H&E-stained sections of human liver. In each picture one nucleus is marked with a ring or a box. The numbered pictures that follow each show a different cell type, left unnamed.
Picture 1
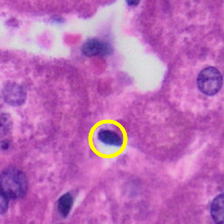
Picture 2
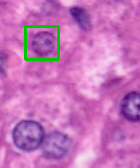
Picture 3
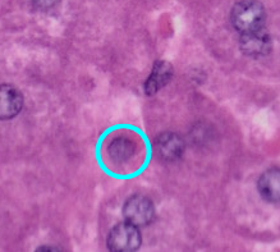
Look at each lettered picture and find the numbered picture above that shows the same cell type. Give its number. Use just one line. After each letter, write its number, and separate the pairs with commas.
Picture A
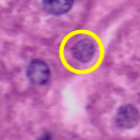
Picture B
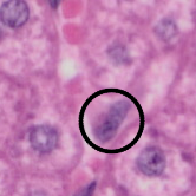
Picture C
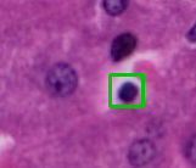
A 3, B 3, C 1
